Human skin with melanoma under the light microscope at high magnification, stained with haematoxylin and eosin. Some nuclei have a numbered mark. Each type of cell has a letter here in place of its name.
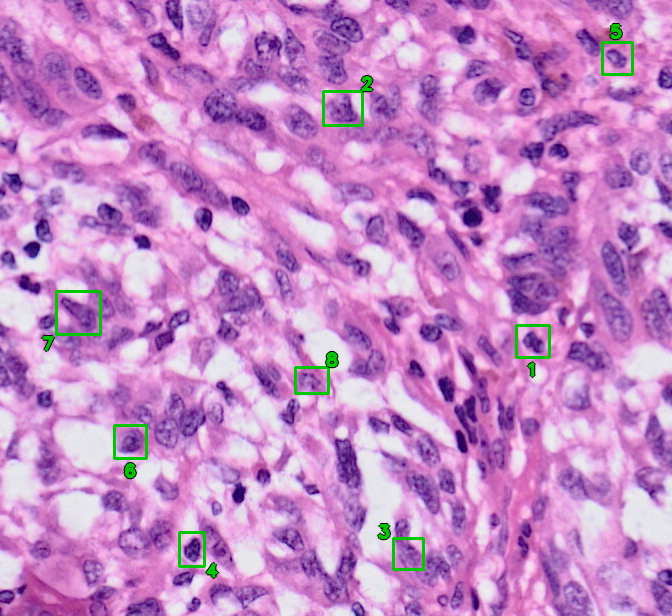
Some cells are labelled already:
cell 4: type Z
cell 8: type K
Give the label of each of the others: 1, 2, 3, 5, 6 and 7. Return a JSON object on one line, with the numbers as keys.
{"1": "type Z", "2": "type K", "3": "type K", "5": "type Z", "6": "type K", "7": "type K"}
